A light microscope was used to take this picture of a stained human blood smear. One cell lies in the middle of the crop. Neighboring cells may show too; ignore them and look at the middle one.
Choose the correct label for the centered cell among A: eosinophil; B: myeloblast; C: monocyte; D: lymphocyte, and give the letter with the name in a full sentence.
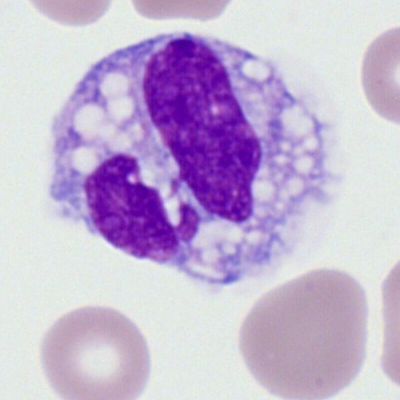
Given that the cell in the middle is a monocyte, option C is correct.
